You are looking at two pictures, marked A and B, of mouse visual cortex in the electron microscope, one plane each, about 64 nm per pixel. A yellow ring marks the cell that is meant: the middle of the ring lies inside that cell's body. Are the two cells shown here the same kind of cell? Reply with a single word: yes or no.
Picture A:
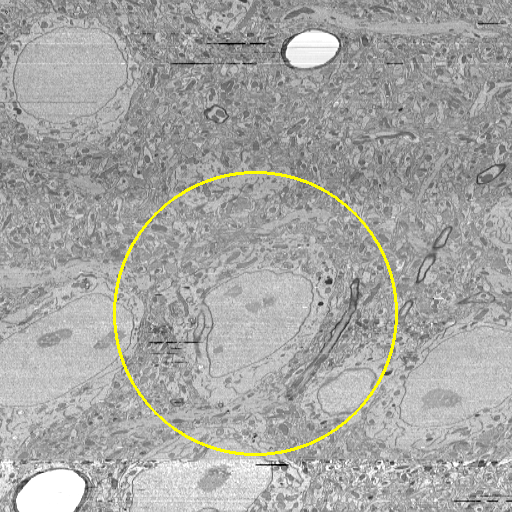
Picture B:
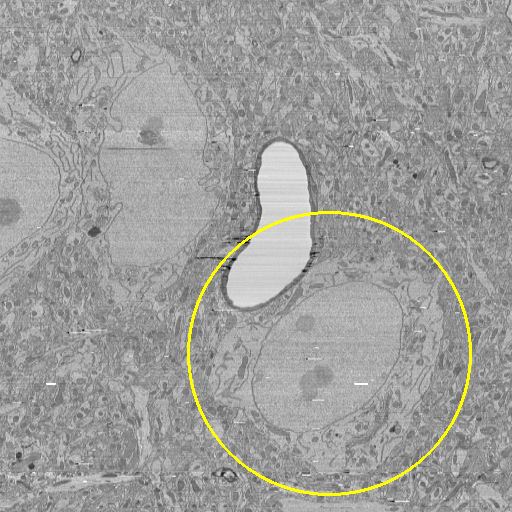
yes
